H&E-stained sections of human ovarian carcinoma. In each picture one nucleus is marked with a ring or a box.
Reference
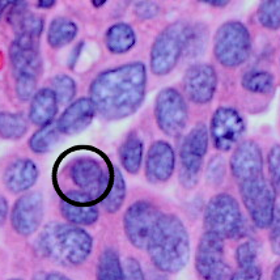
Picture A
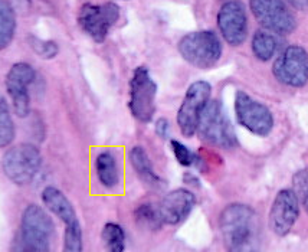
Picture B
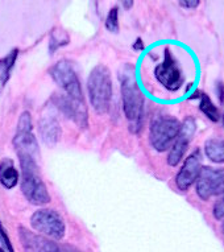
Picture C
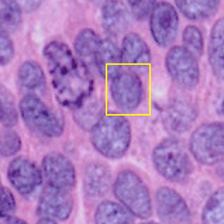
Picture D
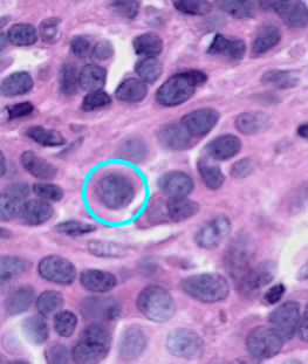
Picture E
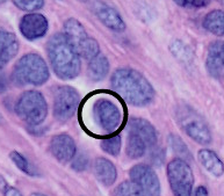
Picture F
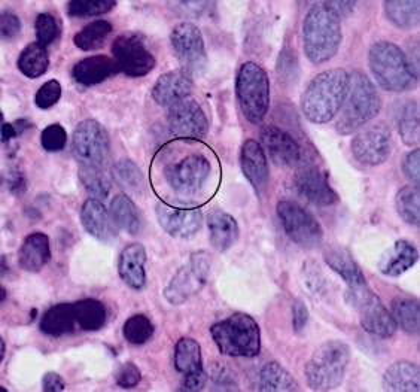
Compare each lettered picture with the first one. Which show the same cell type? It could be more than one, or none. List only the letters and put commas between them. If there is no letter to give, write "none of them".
C, D, E, F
